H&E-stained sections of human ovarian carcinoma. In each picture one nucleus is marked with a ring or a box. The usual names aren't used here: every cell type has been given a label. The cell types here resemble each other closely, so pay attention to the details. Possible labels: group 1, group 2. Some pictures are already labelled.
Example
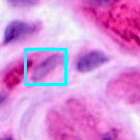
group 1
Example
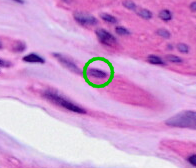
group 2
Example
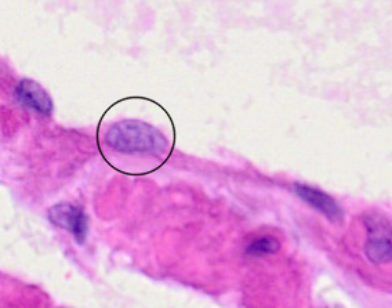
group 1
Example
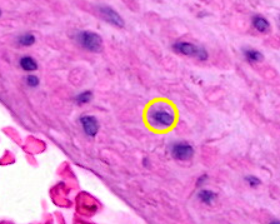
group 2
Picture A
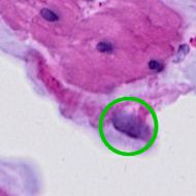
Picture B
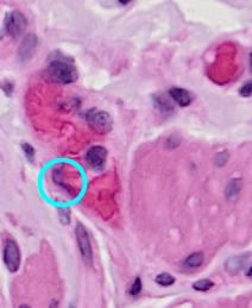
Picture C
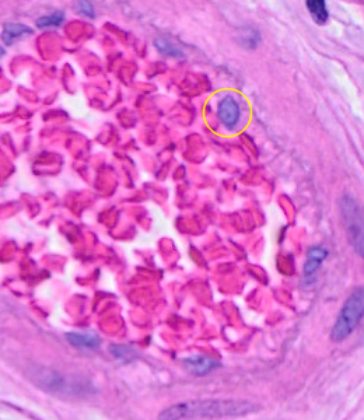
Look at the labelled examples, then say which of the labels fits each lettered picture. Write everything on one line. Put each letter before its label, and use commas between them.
A group 1, B group 1, C group 1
